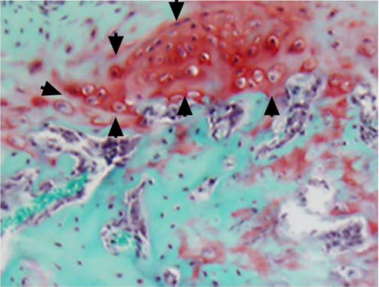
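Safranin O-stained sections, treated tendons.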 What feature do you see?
transitional zone of bone, cartilage, and fibrous tissue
